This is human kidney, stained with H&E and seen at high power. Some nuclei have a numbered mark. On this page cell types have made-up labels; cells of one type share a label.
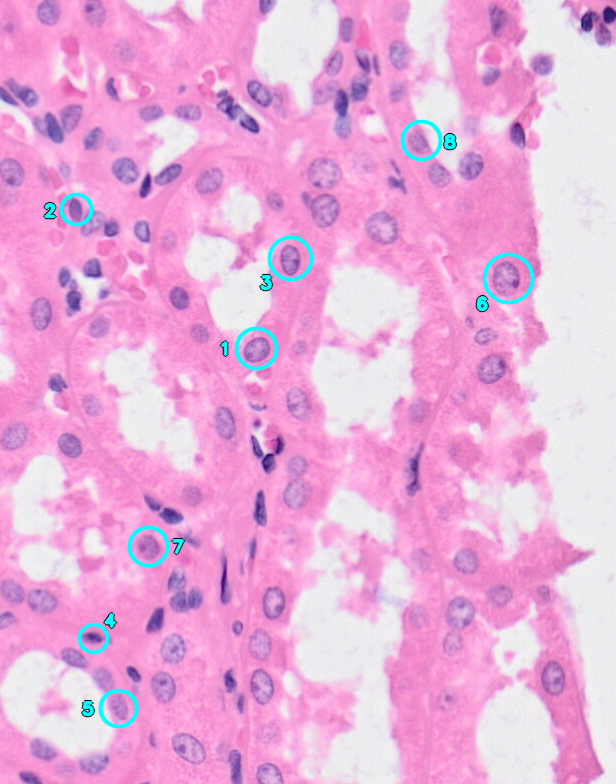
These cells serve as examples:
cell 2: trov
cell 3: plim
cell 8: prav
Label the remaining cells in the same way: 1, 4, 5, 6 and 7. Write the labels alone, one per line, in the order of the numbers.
plim
trov
prav
plim
plim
